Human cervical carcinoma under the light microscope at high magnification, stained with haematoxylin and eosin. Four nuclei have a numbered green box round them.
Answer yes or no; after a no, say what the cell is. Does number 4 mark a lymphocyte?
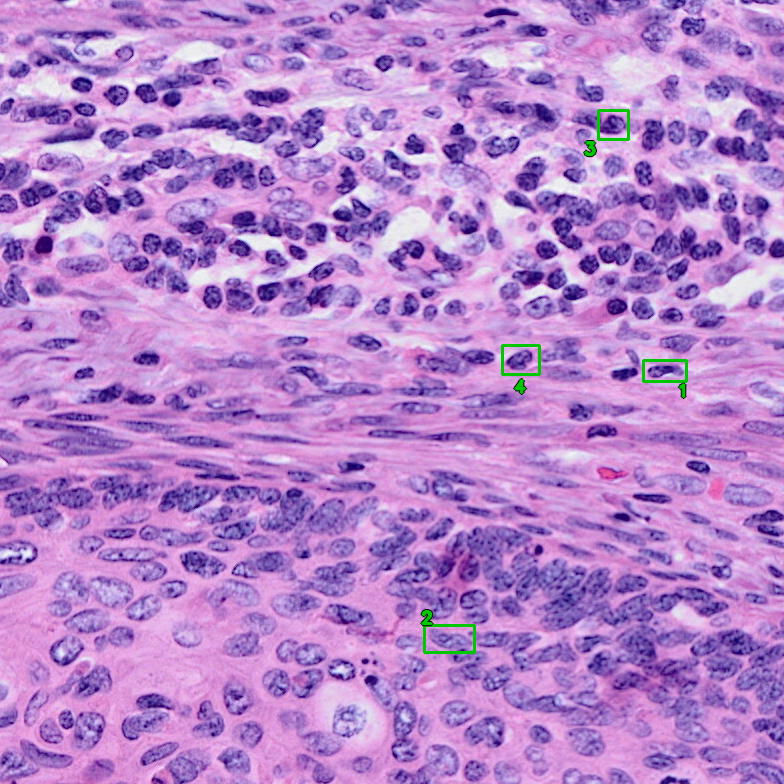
Yes.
